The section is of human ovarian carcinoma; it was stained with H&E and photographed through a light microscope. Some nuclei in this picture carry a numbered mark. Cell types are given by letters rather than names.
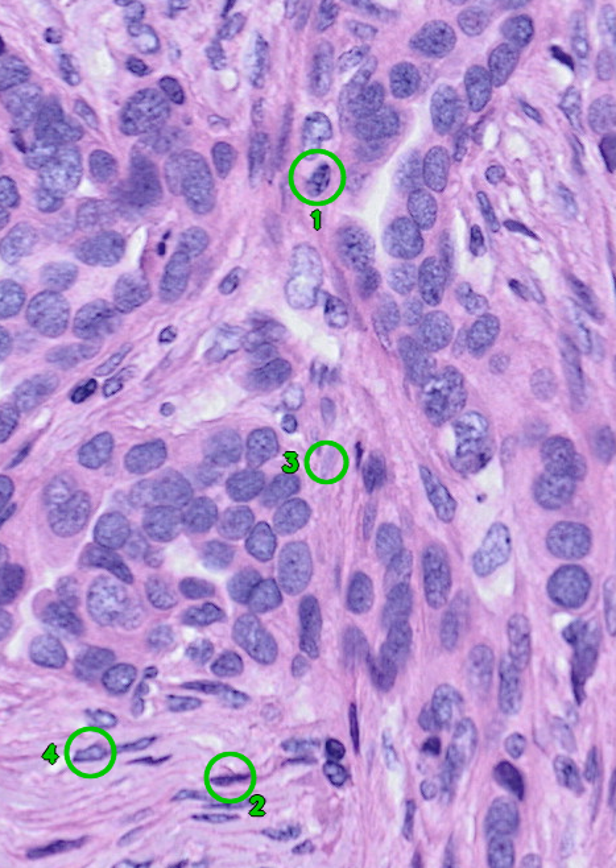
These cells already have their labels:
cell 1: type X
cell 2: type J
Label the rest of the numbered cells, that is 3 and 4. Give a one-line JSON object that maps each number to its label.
{"3": "type J", "4": "type J"}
